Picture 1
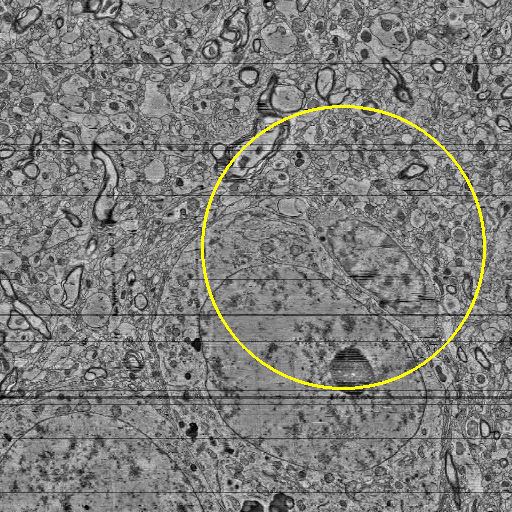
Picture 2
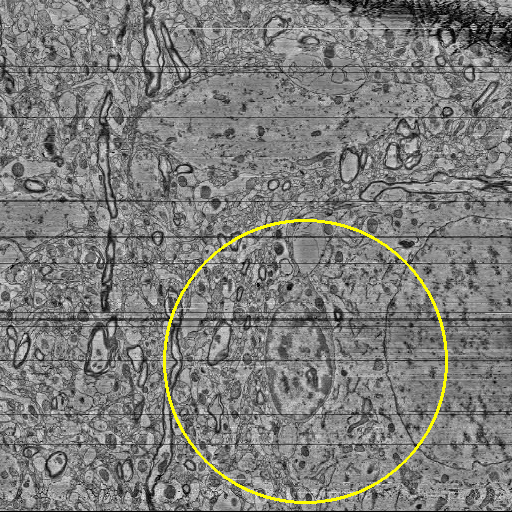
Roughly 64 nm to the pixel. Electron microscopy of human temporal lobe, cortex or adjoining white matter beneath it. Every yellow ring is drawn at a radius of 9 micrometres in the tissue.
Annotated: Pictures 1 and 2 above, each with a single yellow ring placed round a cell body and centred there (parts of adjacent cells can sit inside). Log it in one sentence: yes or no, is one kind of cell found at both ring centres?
Yes, the ring centres of the two pictures hold cells of one kind.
